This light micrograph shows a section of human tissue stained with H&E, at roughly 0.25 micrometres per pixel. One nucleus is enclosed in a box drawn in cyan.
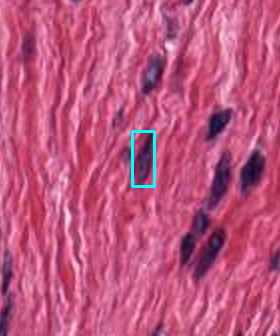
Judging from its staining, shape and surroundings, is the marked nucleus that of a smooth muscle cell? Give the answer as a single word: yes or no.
yes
